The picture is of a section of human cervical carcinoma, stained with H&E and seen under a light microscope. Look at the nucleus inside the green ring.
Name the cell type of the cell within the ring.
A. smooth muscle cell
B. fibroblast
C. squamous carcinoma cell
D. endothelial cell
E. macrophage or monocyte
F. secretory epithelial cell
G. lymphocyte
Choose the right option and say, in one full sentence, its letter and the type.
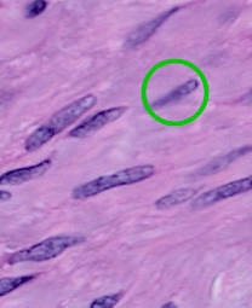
The correct option here, B, identifies the cell within the ring as a fibroblast.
